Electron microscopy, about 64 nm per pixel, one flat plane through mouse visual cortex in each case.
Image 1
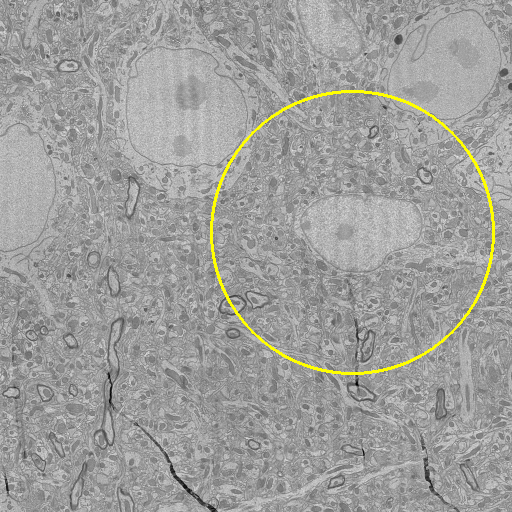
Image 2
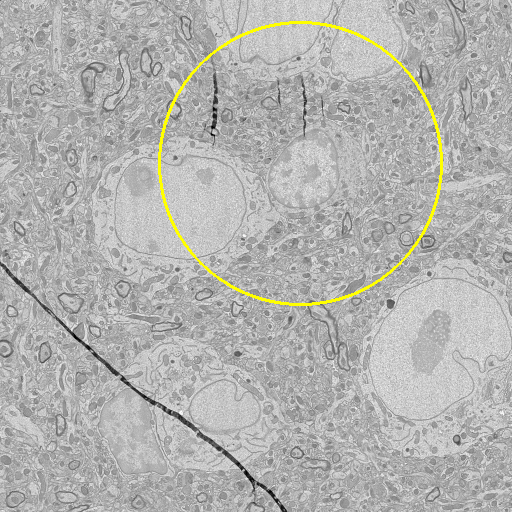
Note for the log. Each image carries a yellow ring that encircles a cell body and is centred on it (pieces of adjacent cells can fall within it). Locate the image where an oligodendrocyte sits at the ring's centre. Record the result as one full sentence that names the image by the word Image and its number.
Image 2 has the wanted cell sitting at the centre of its ring.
